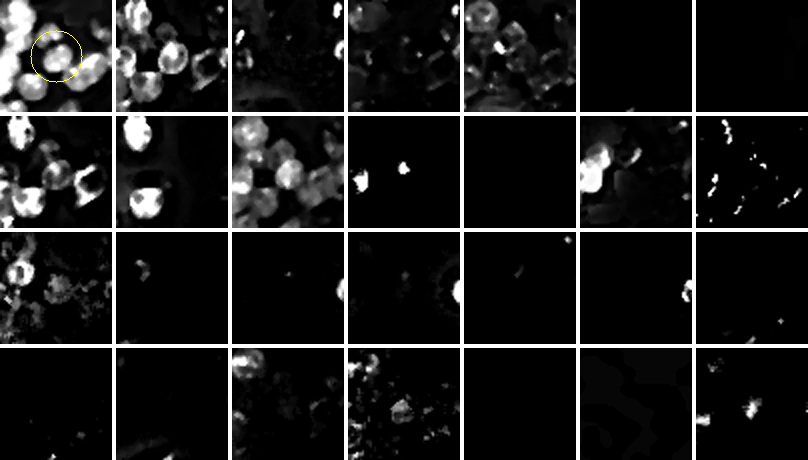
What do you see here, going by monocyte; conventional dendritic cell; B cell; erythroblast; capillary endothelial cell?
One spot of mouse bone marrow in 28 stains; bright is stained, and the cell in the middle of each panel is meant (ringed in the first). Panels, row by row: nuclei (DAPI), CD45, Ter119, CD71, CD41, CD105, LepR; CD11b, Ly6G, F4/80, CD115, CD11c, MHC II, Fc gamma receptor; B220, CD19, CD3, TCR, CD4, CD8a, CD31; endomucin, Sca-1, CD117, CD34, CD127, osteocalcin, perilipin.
I see a monocyte.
